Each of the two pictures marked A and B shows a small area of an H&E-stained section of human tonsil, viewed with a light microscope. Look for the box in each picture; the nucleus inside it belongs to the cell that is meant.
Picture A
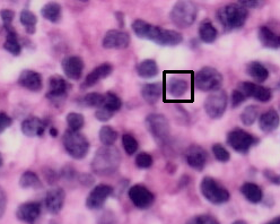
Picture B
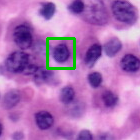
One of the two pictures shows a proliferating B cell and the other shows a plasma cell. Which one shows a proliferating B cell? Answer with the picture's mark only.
A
